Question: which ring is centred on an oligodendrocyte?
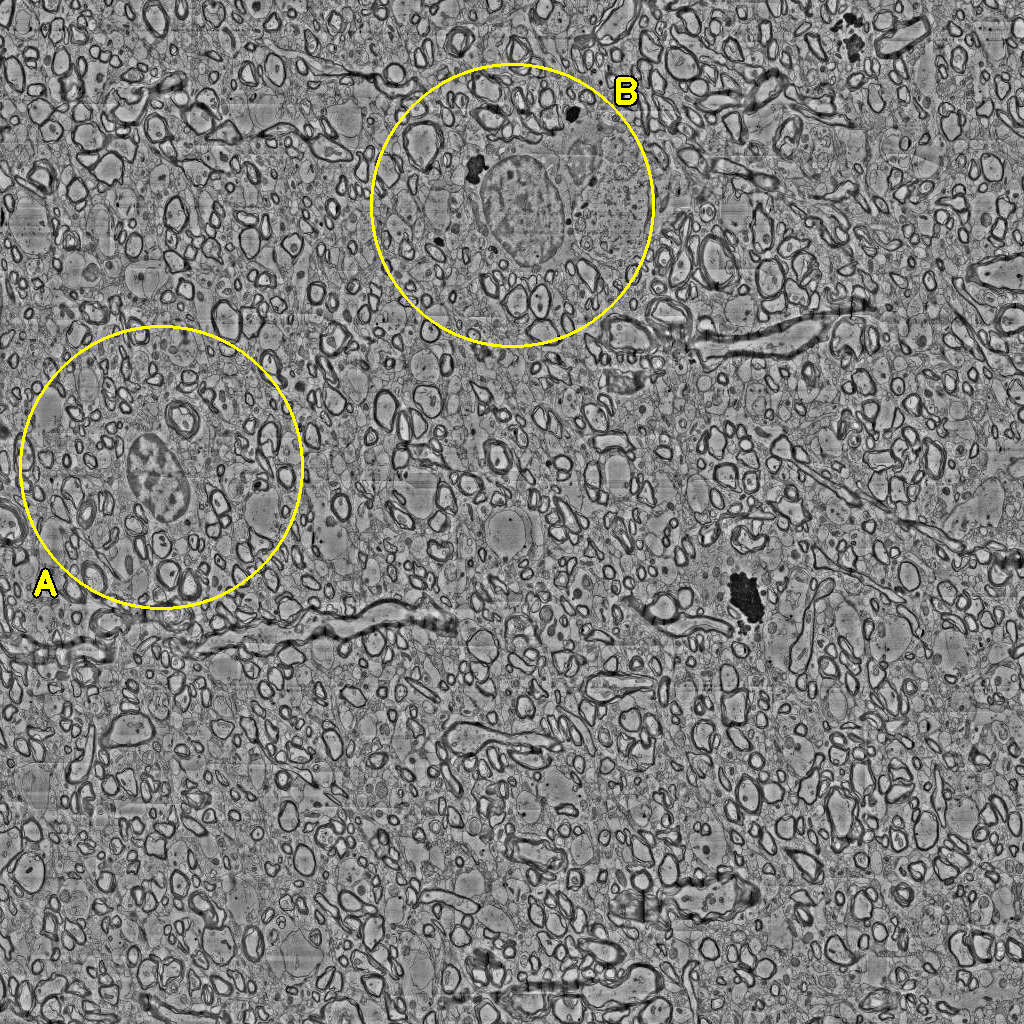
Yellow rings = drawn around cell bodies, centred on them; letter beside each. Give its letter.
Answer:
B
